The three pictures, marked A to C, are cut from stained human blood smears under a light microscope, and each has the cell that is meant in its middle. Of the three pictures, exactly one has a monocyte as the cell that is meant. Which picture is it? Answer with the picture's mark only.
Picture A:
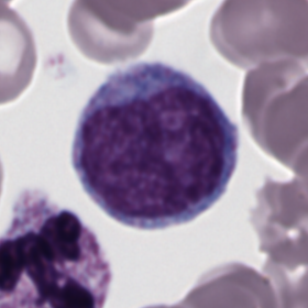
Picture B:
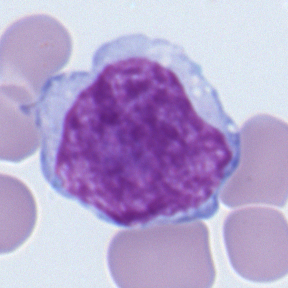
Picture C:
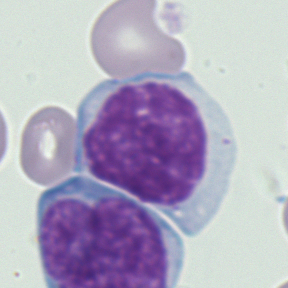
A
